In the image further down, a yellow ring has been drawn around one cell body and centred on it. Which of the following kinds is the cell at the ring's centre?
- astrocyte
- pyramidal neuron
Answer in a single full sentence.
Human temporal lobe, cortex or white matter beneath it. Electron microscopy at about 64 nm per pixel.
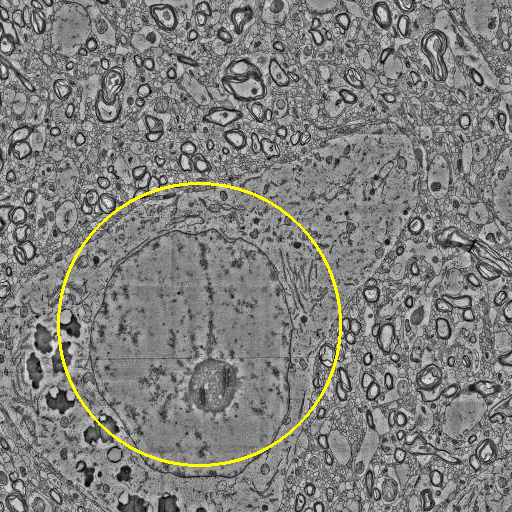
In the picture, the cell sitting at the centre of the yellow ring is a pyramidal neuron.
